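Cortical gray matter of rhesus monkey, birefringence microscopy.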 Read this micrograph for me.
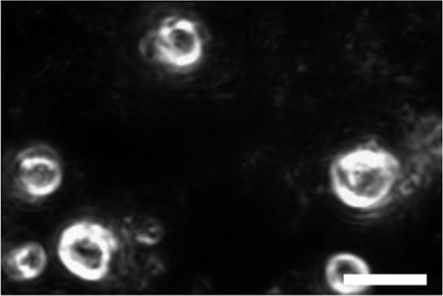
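These are myelinated axons cut transversely, each seen as a bright ring with a dark centre on a dark background. The rings differ in size and lie scattered across the field.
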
